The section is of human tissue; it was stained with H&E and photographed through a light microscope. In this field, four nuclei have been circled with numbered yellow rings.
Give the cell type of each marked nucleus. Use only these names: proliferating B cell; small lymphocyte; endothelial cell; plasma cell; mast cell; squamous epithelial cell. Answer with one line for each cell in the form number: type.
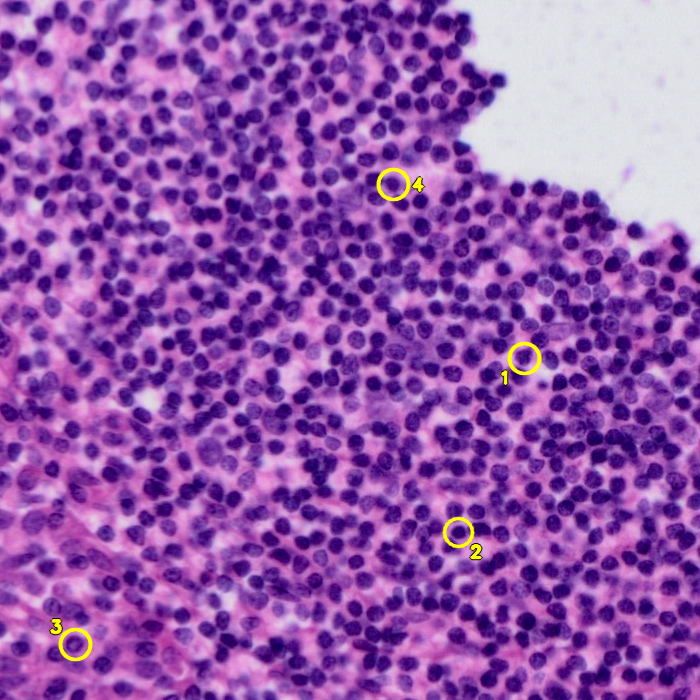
1: small lymphocyte
2: small lymphocyte
3: plasma cell
4: small lymphocyte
